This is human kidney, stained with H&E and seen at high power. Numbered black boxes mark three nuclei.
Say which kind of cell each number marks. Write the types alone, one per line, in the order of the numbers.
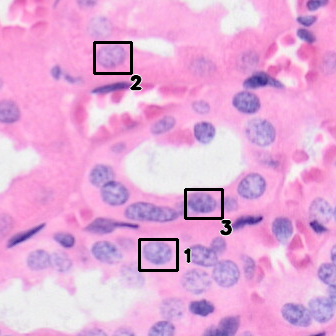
collecting duct cell
proximal tubule cell
collecting duct cell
